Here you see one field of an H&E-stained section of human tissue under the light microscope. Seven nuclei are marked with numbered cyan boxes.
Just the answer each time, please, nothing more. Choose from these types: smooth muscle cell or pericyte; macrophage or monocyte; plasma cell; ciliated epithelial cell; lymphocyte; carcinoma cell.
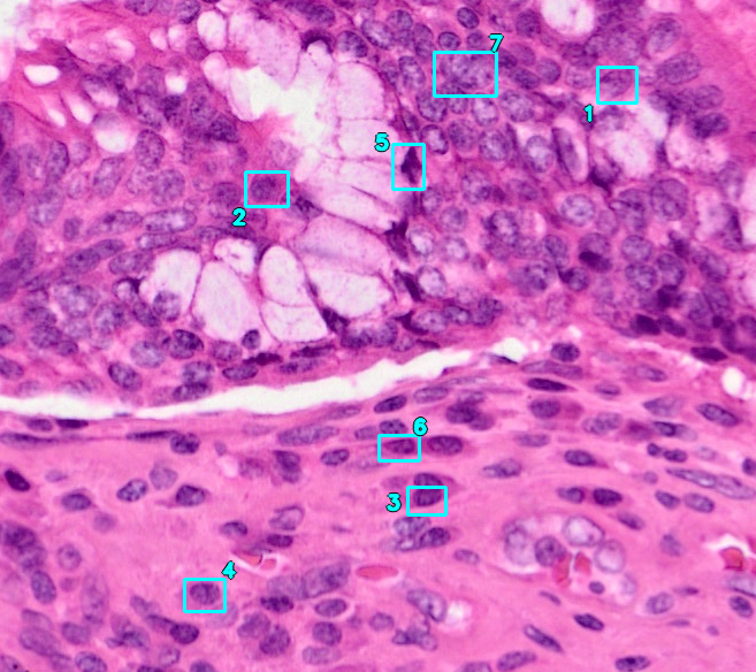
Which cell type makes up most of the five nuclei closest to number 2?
ciliated epithelial cell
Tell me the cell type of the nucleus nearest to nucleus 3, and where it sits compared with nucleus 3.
a plasma cell above nucleus 3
